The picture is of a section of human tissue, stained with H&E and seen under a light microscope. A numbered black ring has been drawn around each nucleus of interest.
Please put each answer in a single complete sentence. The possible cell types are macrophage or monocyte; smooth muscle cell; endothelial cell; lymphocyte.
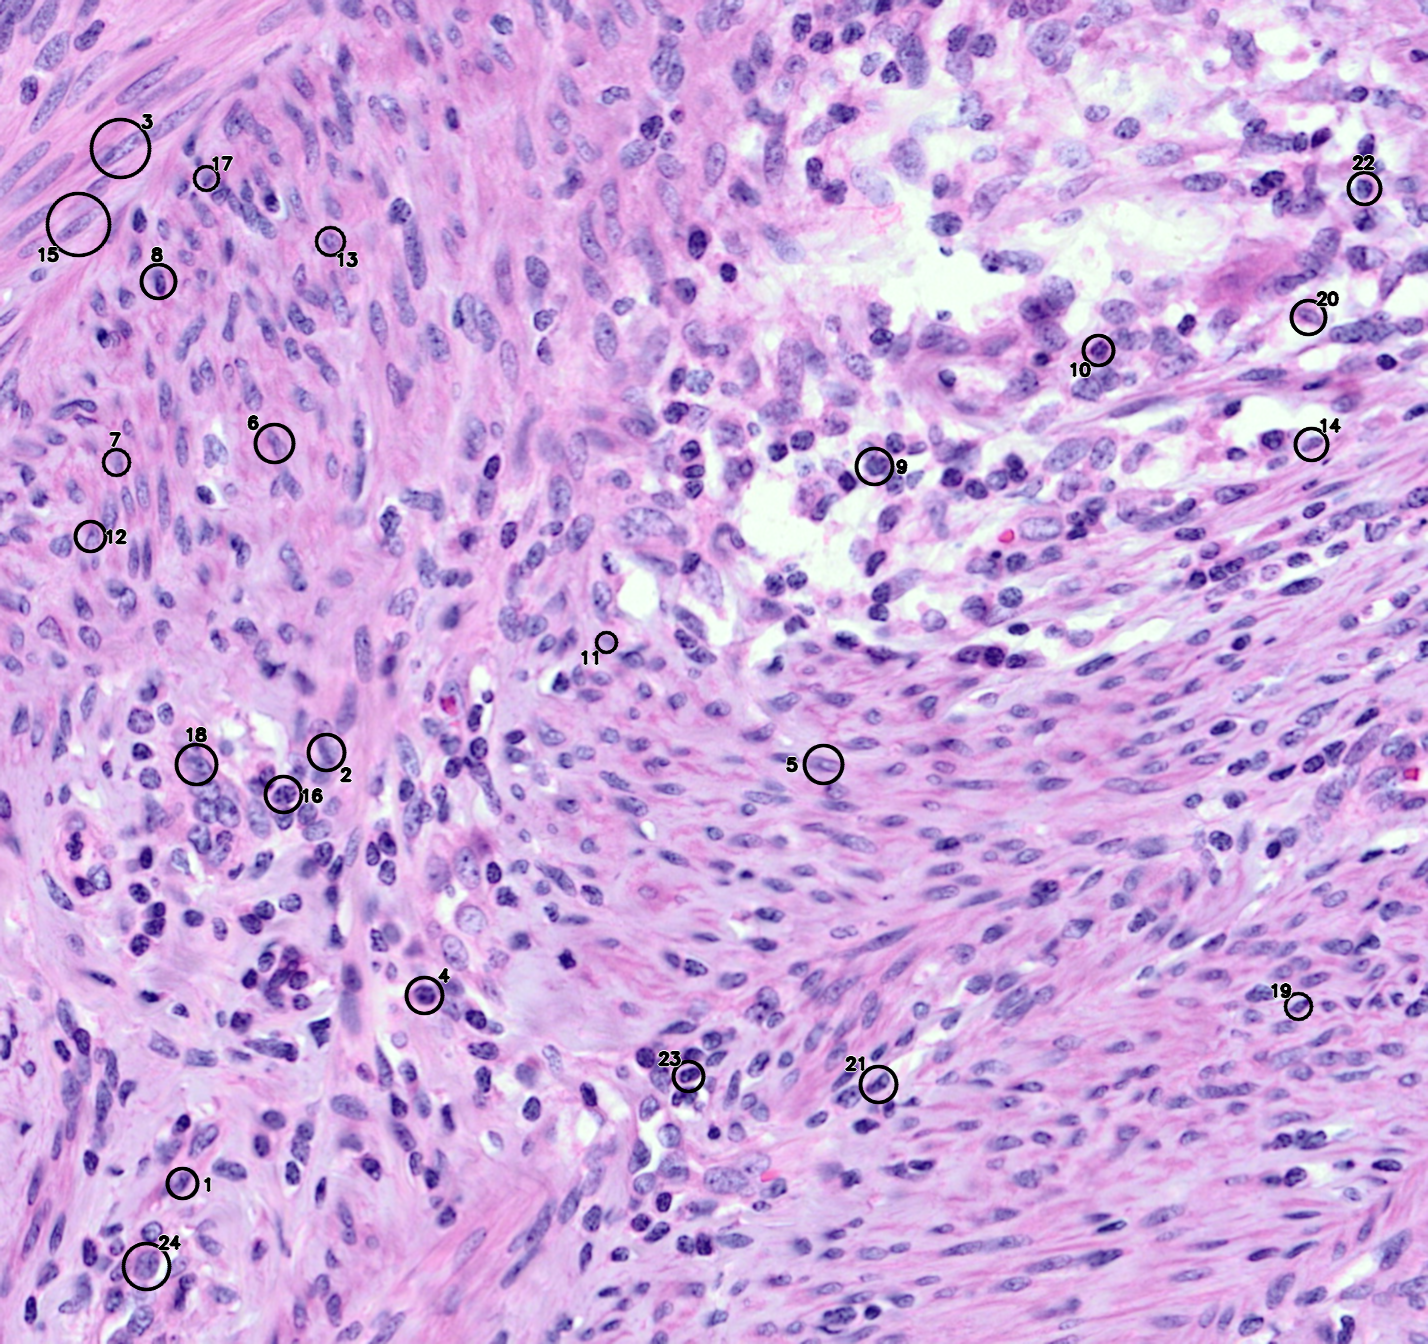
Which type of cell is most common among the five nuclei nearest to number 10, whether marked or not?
Of the five nuclei nearest to number 10, most belong to macrophages or monocytes.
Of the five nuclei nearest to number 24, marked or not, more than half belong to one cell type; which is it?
Endothelial cells account for more than half of the five nuclei nearest to number 24.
